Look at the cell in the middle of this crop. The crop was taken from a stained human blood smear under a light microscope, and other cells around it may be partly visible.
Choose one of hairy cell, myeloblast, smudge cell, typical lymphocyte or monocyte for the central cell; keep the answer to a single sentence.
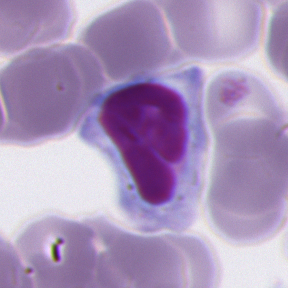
The center cell of this crop is a typical lymphocyte.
